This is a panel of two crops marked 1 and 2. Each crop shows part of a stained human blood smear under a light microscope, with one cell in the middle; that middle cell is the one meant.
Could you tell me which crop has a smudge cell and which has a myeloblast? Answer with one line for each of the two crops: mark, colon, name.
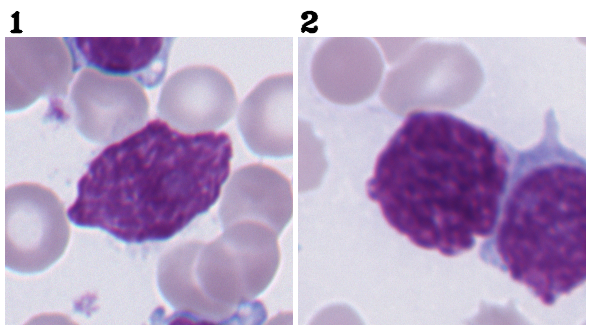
1: smudge cell
2: myeloblast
